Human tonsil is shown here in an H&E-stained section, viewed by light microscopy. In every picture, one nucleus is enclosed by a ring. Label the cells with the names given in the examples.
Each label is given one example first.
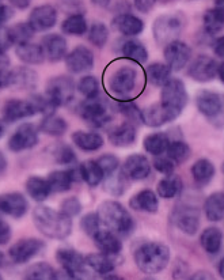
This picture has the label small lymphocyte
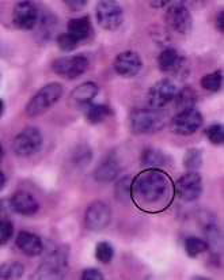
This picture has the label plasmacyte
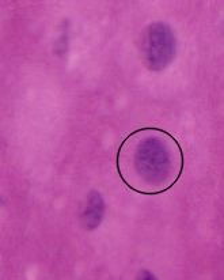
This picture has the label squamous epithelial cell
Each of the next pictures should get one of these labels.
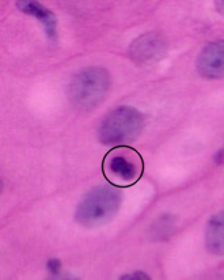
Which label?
squamous epithelial cell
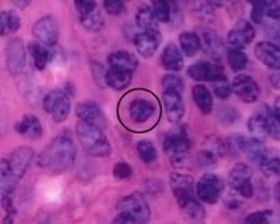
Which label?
plasmacyte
